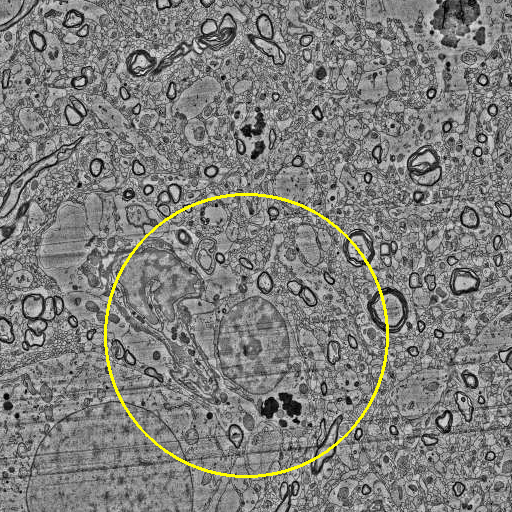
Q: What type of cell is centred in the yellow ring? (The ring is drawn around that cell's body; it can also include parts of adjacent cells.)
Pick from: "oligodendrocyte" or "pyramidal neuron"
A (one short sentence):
The yellow ring is centred on an oligodendrocyte.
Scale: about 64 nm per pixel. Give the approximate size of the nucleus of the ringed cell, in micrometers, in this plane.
The nucleus measures about 6 by 5 micrometres in this plane.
